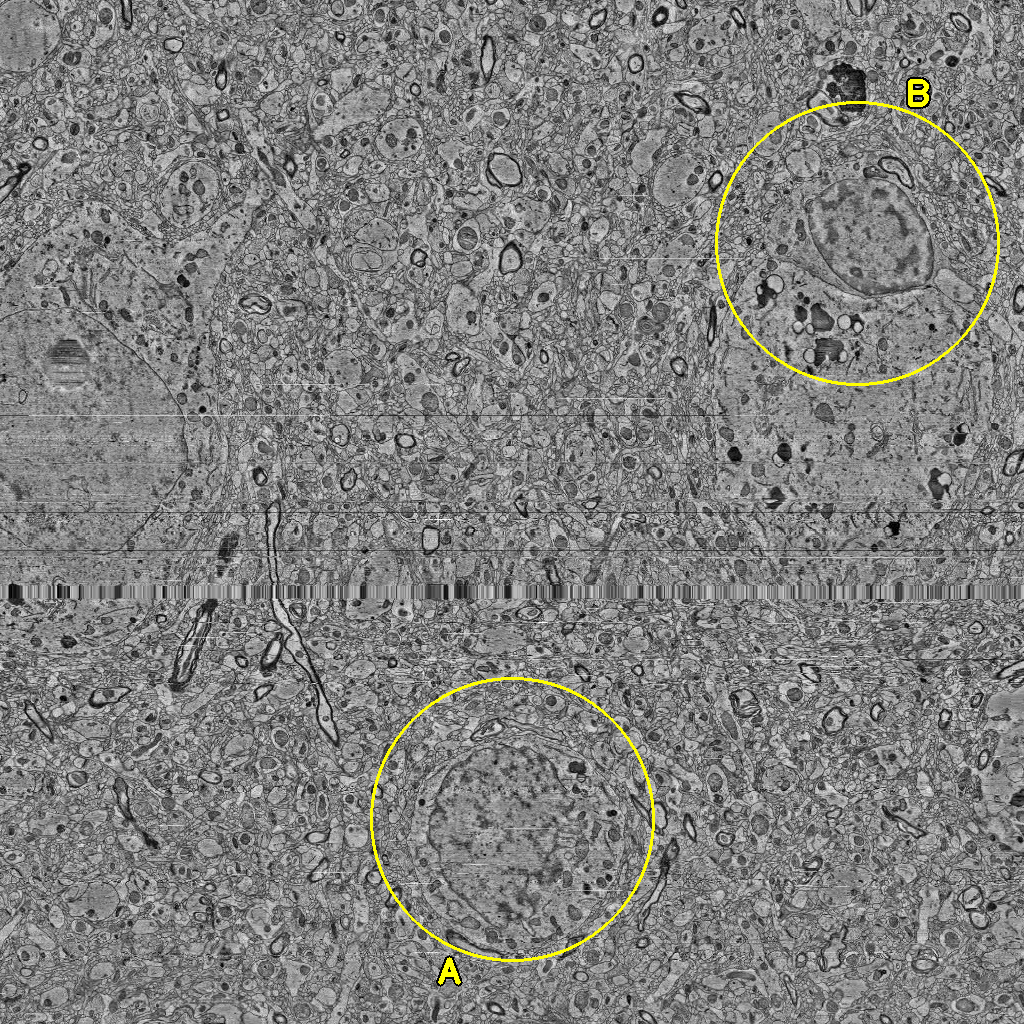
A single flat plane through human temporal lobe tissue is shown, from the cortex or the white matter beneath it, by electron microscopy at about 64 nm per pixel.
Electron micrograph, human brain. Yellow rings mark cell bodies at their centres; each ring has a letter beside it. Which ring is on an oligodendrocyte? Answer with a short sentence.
Ring B is centred on it.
